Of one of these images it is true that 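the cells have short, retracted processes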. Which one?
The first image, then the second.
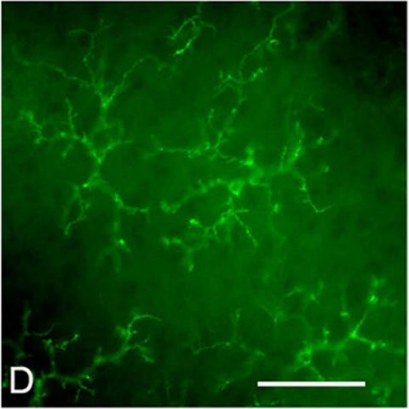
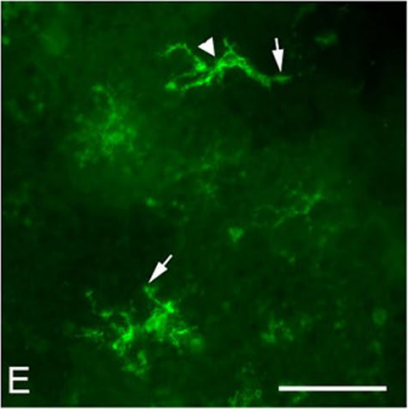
The second image.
